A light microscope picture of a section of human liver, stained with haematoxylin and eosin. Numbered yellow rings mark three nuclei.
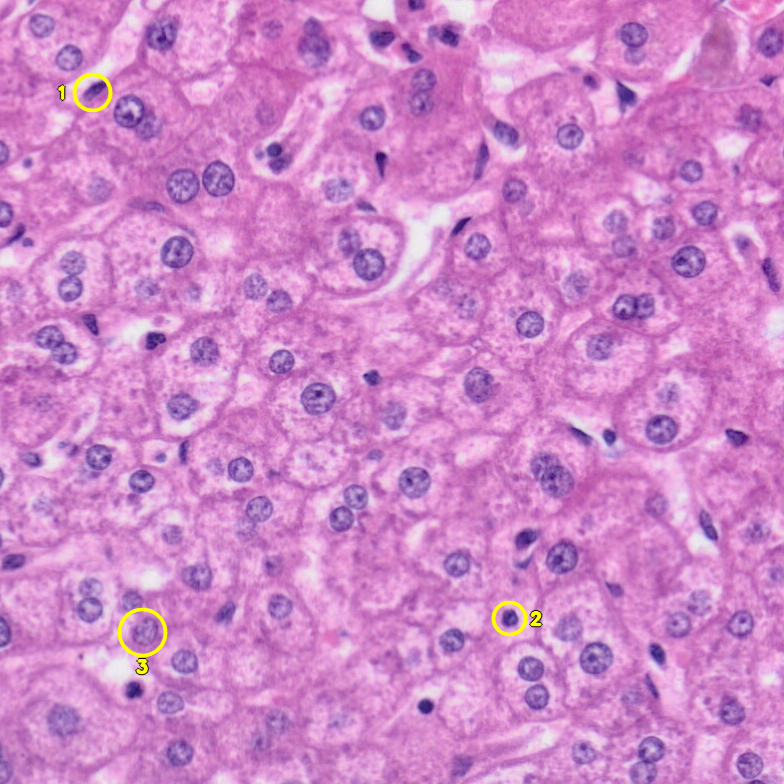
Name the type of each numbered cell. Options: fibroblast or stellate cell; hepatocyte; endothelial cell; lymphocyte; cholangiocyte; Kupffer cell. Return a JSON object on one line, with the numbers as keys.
{"1": "Kupffer cell", "2": "lymphocyte", "3": "hepatocyte"}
